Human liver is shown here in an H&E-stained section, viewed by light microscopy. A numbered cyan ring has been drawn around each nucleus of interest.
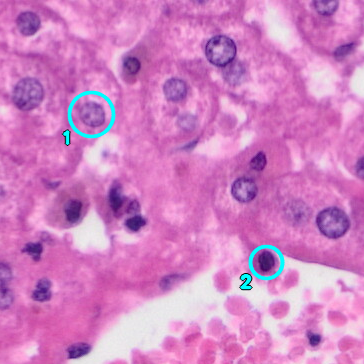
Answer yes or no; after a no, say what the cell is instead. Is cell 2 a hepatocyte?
No, it is a Kupffer cell.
